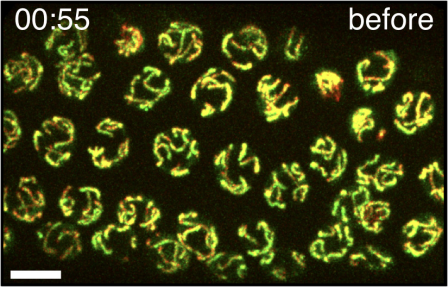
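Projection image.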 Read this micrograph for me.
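A field of many closely packed germline nuclei from a gonad, each containing several long, curved thread-like tracks. The threads are mostly yellow where green and red overlap, with a few red-only segments, and the space between threads is dark.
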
